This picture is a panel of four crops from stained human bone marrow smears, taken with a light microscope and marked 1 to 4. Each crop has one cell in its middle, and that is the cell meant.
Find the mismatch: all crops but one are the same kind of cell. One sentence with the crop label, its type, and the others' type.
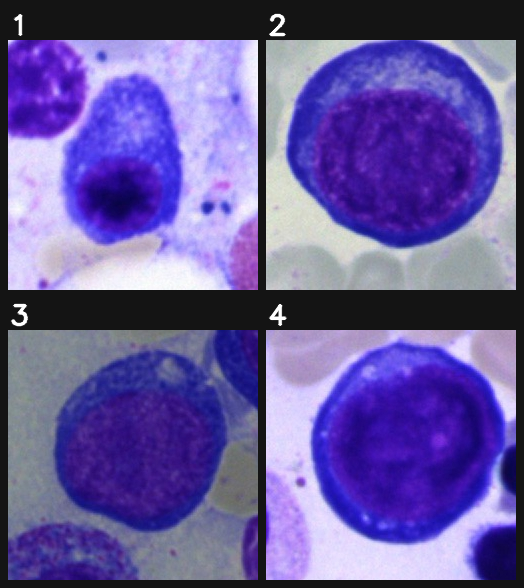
The central cell of crop 1 is a plasma cell, while the other crops show proerythroblasts.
